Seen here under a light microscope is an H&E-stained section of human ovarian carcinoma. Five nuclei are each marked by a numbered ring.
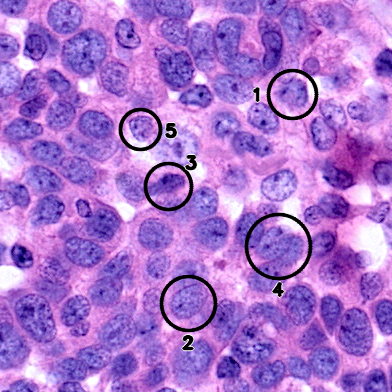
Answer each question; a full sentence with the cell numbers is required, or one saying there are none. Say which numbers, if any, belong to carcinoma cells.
The cells numbered 2 and 4 fall into the category of carcinoma cells.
